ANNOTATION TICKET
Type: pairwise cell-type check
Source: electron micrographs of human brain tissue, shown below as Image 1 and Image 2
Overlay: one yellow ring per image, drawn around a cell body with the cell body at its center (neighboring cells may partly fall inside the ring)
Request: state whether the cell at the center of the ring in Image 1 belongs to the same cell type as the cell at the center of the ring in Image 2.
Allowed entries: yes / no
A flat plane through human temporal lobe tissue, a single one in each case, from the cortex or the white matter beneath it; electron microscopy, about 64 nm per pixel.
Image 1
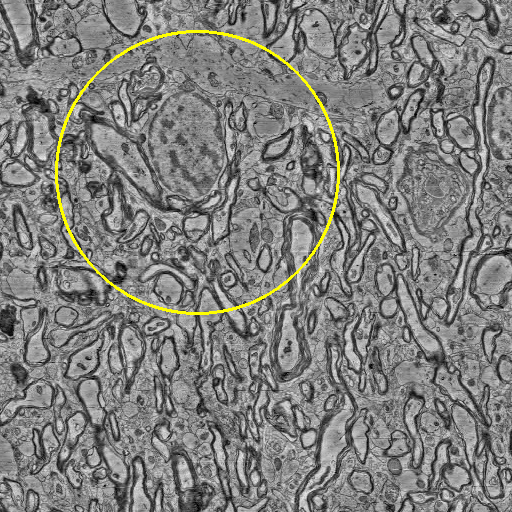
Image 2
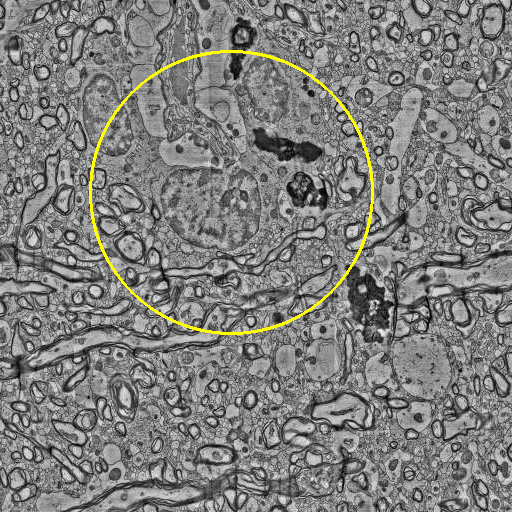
yes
